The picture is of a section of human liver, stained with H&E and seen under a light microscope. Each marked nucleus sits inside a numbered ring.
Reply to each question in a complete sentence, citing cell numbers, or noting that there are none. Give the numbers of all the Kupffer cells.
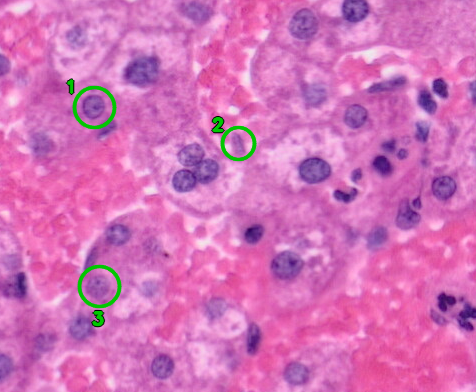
Only the cell numbered 2 is a Kupffer cell, and the others are something else.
